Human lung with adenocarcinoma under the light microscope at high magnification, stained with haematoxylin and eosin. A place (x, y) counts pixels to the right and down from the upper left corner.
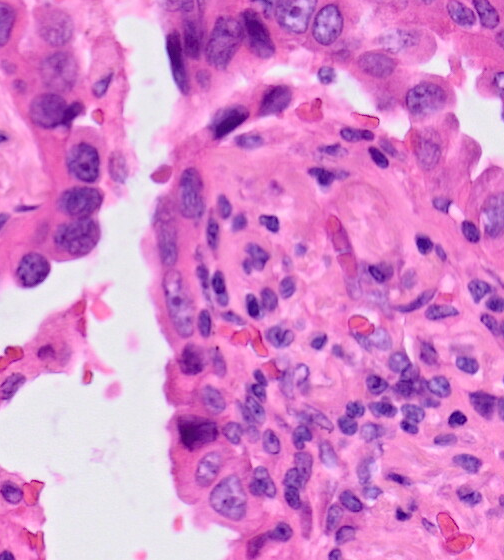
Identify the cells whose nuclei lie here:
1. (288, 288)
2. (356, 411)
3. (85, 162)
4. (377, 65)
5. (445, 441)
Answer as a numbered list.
1. lymphocyte
2. lymphocyte
3. carcinoma cell
4. carcinoma cell
5. lymphocyte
